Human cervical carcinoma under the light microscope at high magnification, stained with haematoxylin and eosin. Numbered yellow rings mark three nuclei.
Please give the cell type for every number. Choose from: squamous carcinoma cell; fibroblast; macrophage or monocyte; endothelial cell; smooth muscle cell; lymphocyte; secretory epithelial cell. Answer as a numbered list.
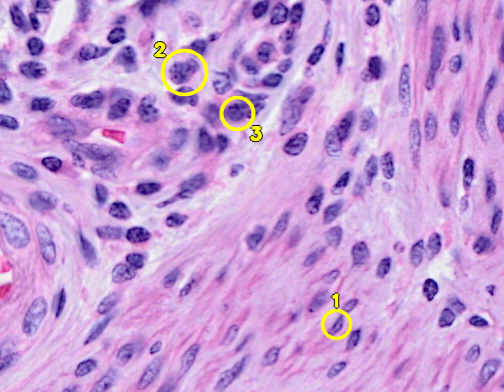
1. smooth muscle cell
2. lymphocyte
3. lymphocyte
